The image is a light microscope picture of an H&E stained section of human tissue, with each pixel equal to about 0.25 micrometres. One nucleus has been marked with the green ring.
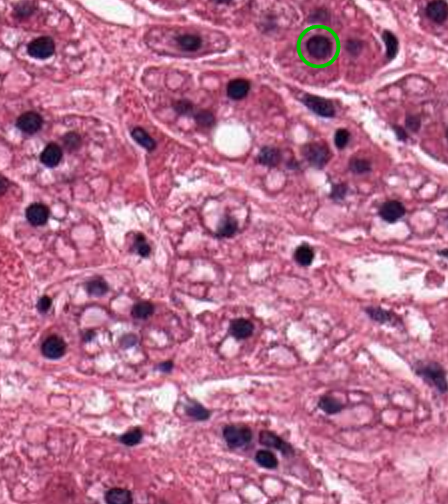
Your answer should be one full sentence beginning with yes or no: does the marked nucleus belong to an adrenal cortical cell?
Yes, to an adrenal cortical cell belongs the marked nucleus.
